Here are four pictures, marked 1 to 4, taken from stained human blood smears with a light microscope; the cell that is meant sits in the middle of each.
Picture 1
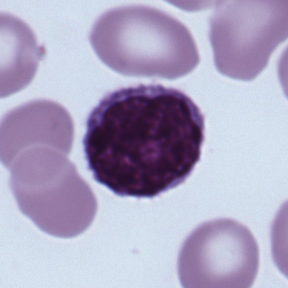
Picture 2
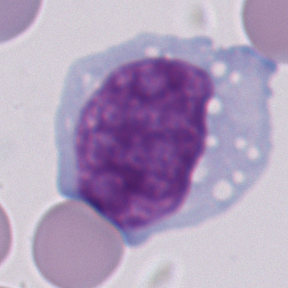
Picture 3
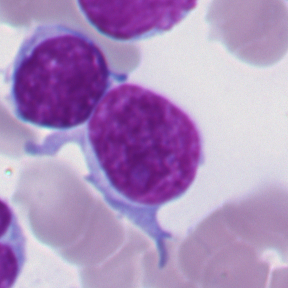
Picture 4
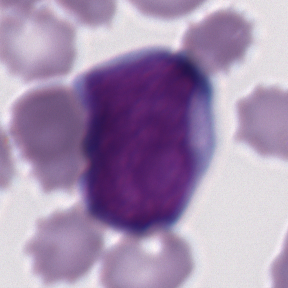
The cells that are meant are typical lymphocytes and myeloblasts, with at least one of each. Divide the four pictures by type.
1: typical lymphocyte
2: myeloblast
3: myeloblast
4: myeloblast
